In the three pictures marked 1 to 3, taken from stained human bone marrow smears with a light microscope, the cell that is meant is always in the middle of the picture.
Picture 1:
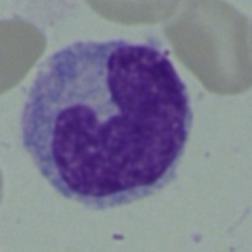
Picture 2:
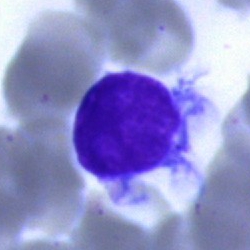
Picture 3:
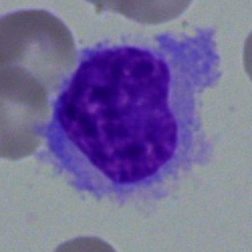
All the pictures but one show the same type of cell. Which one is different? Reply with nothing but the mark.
1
